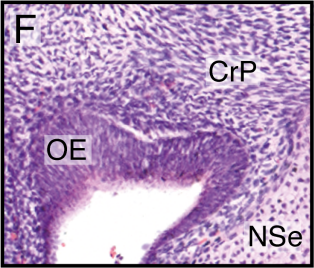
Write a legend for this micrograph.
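This shows the roof of the nasal cavity, lined by a thick olfactory neuroepithelium. To the lower right the looser tissue of the nasal septum borders the cavity. The cavity itself is an empty white space beneath the epithelium.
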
